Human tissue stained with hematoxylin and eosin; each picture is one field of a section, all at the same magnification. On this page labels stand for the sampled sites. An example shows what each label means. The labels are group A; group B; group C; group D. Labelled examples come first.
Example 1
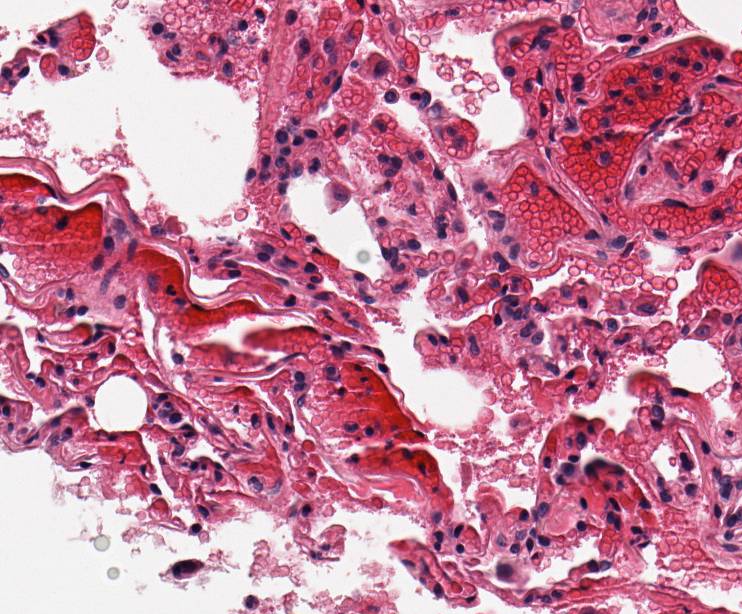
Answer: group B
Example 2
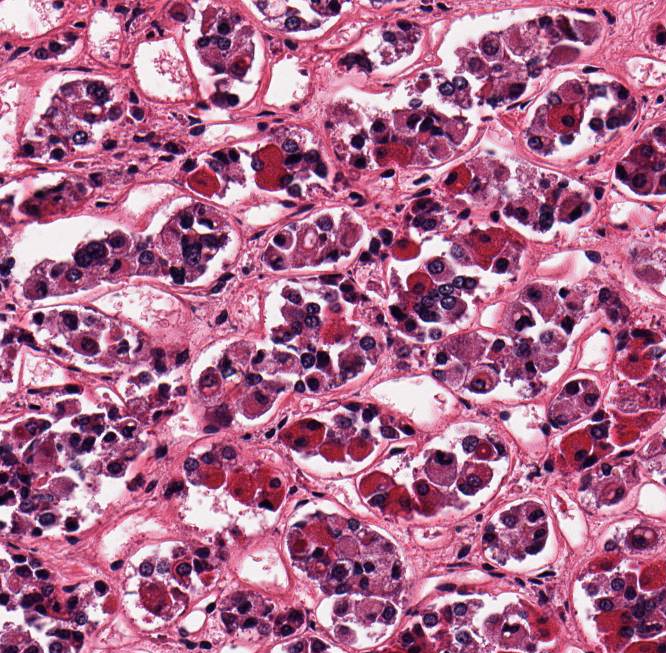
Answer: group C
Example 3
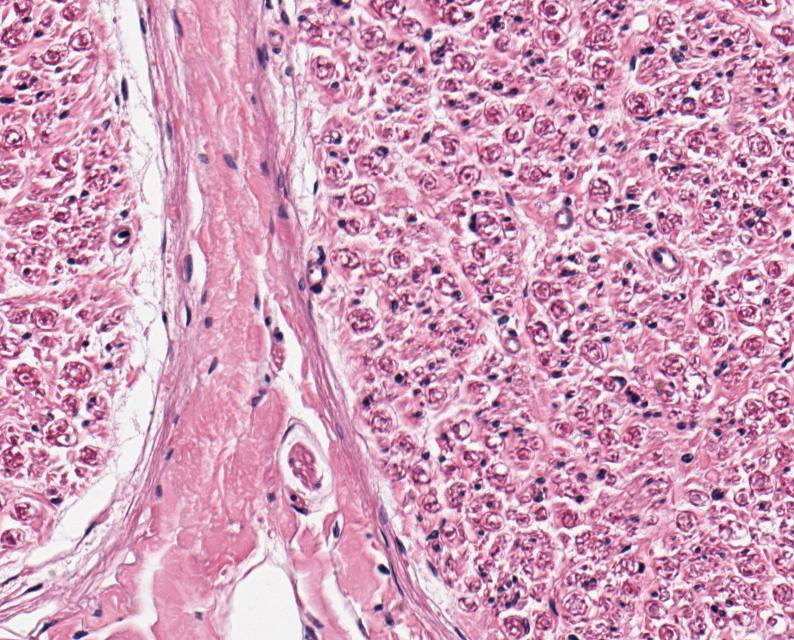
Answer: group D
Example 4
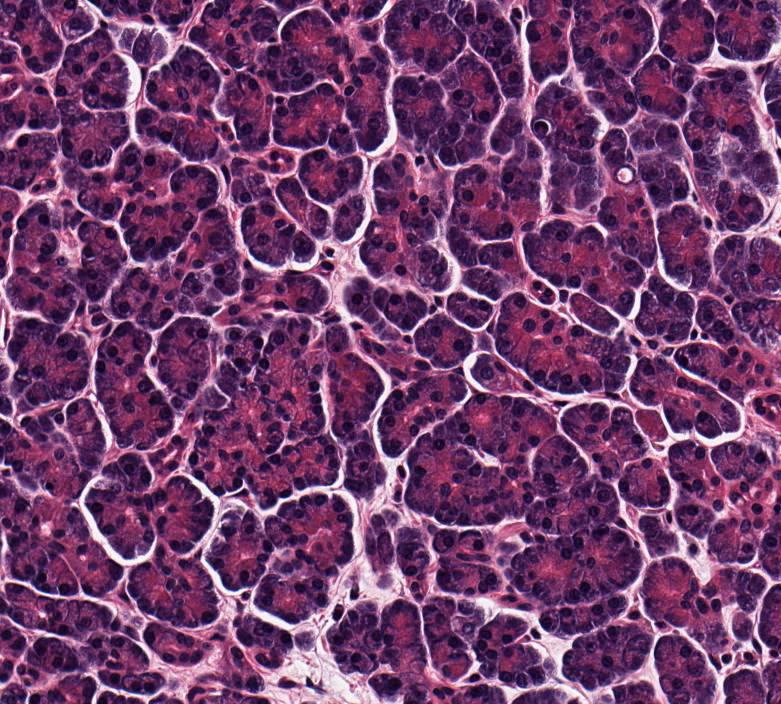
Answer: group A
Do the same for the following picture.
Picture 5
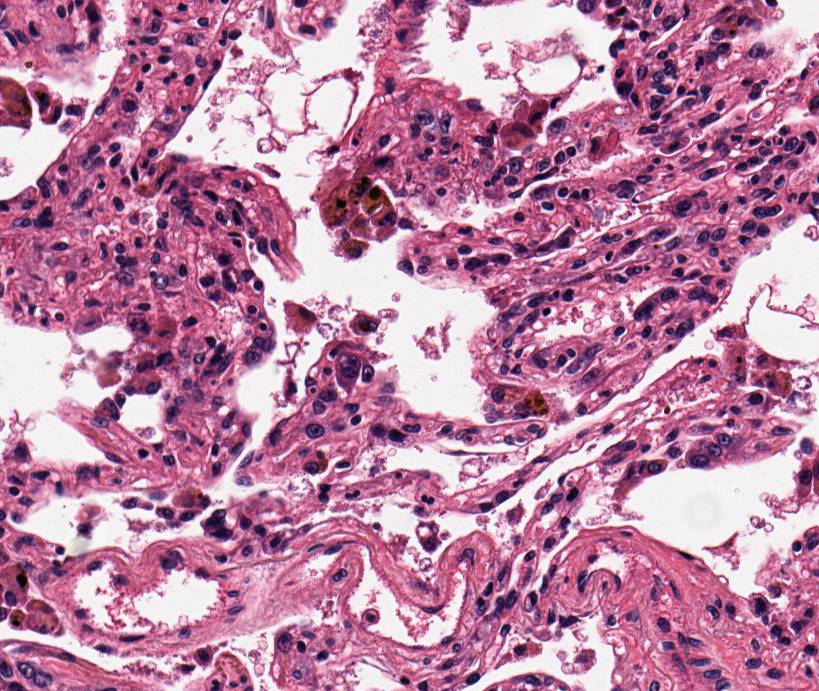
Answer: group B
